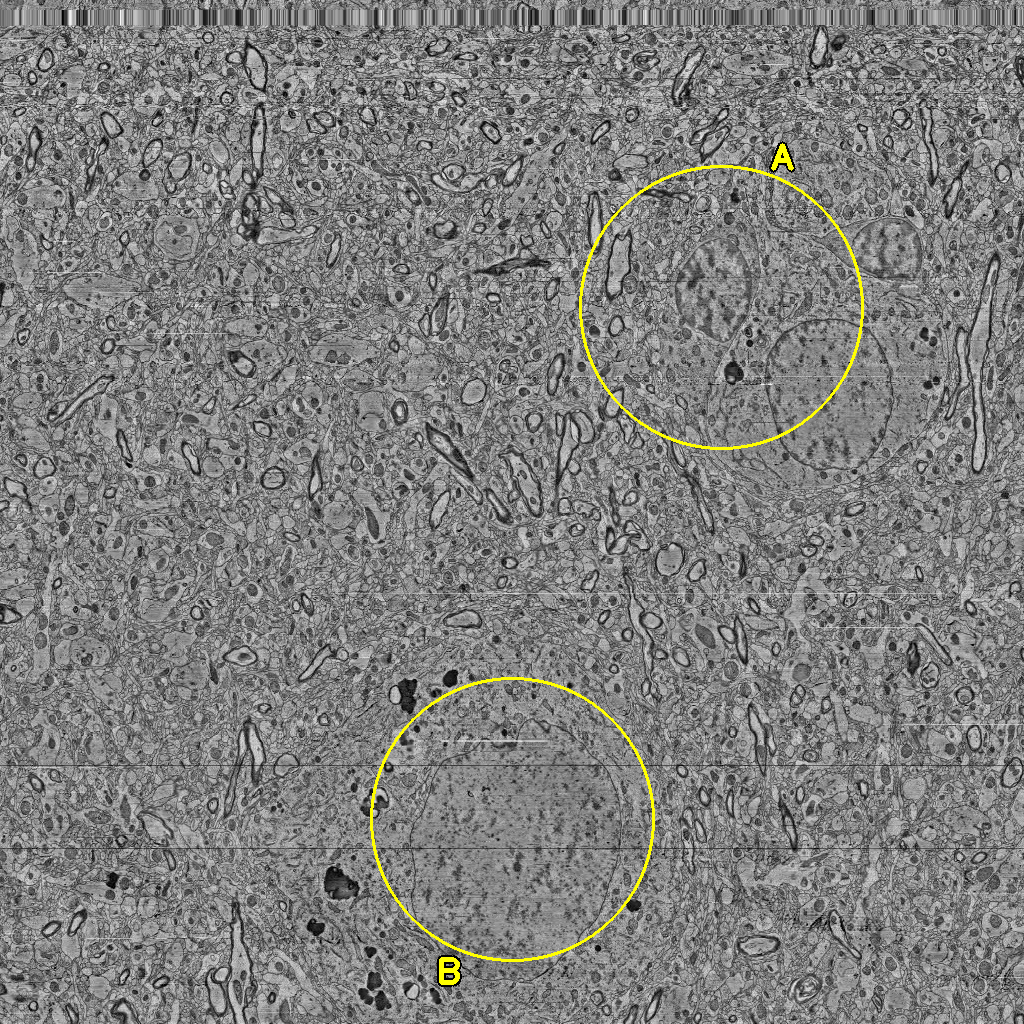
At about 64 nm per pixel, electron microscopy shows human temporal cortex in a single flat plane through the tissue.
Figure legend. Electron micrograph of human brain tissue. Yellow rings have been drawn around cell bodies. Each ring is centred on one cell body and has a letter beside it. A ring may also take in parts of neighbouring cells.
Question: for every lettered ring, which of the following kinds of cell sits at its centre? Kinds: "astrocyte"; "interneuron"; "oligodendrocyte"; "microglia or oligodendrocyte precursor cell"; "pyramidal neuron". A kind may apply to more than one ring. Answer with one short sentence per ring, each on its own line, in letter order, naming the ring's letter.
Ring A is centred on an oligodendrocyte.
Ring B is centred on a pyramidal neuron.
